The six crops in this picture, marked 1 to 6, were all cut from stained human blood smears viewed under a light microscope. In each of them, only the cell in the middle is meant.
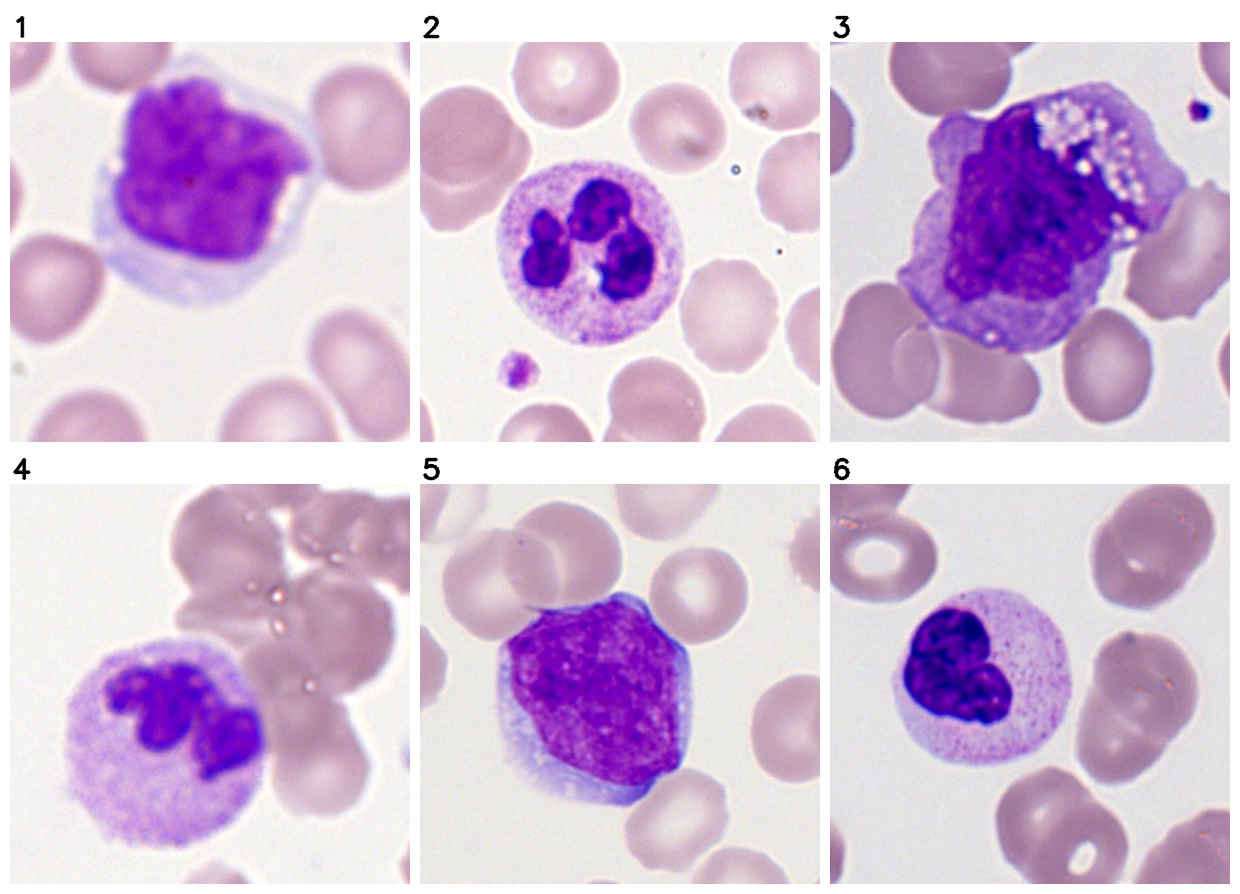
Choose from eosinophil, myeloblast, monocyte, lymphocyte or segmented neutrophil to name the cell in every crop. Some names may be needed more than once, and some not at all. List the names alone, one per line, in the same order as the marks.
monocyte
segmented neutrophil
monocyte
segmented neutrophil
myeloblast
segmented neutrophil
